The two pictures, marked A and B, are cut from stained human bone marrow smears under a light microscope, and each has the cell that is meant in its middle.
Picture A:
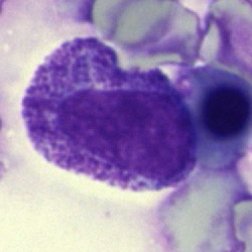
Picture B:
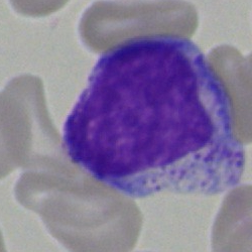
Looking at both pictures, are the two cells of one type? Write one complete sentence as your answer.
No. Picture A shows a promyelocyte, but picture B shows a myelocyte.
